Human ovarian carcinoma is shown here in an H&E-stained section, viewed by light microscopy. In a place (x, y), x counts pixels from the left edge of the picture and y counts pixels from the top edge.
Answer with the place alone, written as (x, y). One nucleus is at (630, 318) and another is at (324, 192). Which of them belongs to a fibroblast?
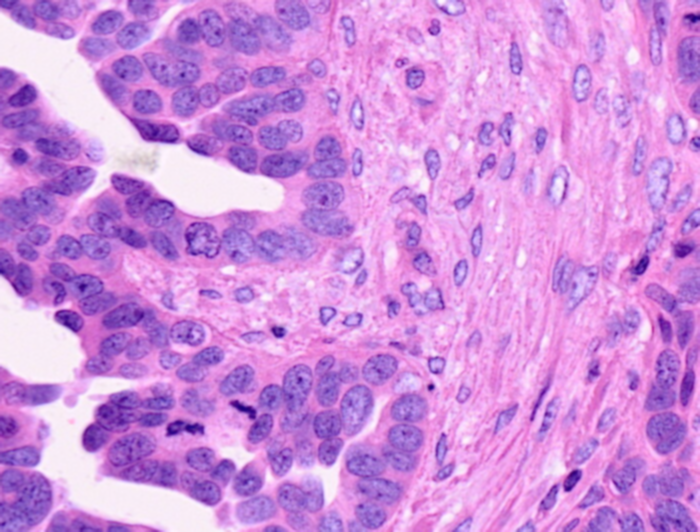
(630, 318)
